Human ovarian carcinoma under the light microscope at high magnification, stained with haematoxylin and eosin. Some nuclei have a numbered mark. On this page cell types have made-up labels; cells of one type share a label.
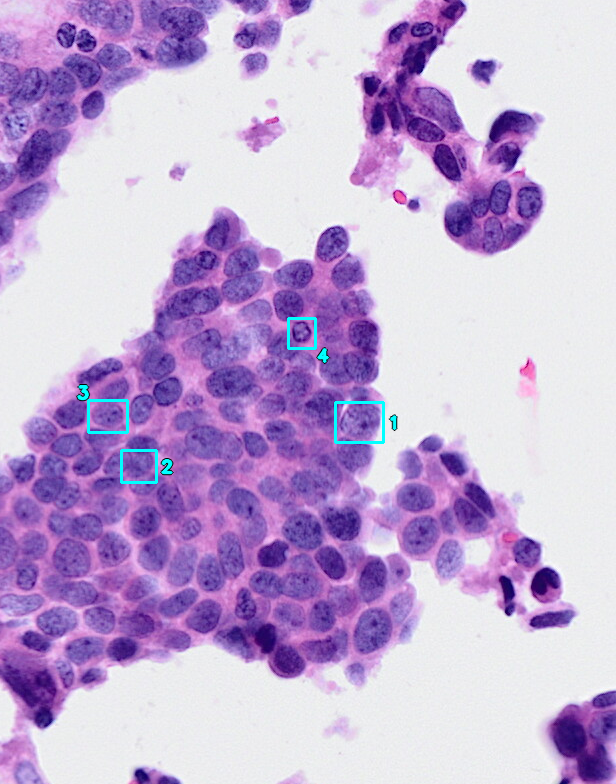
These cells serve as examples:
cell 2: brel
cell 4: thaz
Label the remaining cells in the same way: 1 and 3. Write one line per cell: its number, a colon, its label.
1: brel
3: brel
